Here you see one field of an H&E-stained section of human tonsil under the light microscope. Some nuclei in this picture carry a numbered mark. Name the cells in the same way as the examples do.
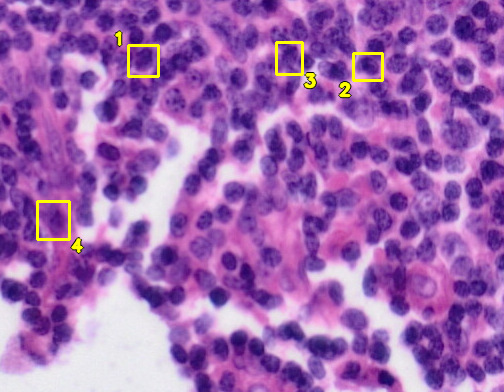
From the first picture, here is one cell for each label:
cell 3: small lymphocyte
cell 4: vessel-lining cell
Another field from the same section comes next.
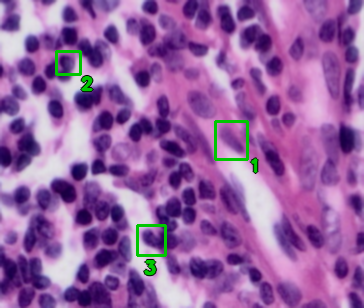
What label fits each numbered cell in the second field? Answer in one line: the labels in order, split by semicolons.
vessel-lining cell; small lymphocyte; small lymphocyte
